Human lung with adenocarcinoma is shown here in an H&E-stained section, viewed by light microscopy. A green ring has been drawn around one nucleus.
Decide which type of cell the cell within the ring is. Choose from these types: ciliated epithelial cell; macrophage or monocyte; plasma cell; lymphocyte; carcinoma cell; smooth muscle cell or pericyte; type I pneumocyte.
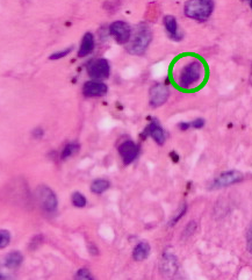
plasma cell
